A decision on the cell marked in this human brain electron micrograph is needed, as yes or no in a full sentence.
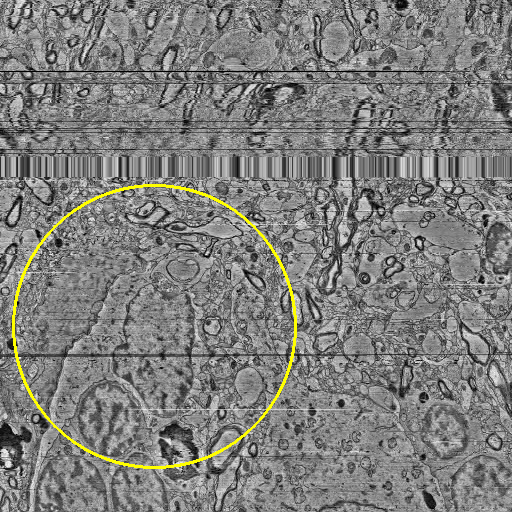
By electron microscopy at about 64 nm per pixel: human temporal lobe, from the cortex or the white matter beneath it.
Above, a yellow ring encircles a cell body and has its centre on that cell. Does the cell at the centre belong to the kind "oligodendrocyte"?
No, a different kind fits the cell at the centre of the ring in the picture.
